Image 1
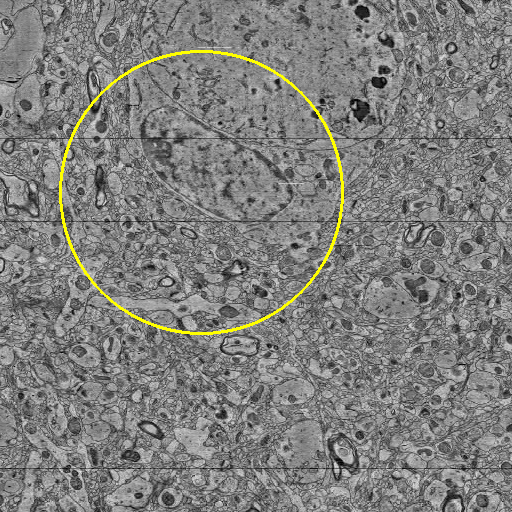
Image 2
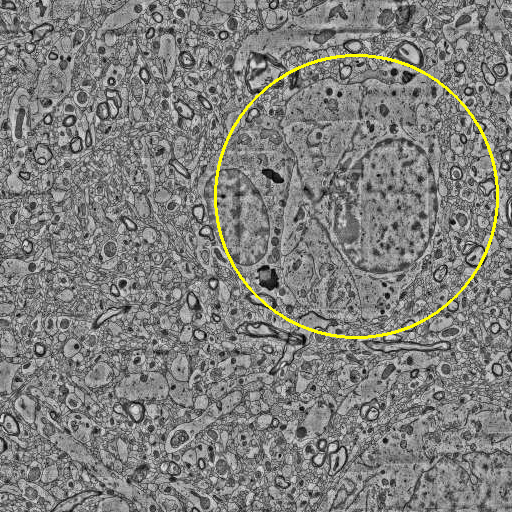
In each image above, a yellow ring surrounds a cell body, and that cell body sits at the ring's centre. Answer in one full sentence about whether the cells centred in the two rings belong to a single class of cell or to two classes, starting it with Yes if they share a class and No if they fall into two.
Yes, the cells centred in the two yellow rings belong to a single class of cell.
